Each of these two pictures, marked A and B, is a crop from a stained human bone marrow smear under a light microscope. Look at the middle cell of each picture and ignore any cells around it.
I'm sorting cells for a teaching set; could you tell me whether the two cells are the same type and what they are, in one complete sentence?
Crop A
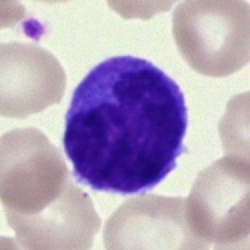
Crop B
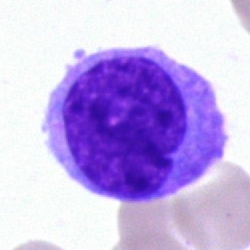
Yes, as shown in both crops, the central cells are monocytes.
